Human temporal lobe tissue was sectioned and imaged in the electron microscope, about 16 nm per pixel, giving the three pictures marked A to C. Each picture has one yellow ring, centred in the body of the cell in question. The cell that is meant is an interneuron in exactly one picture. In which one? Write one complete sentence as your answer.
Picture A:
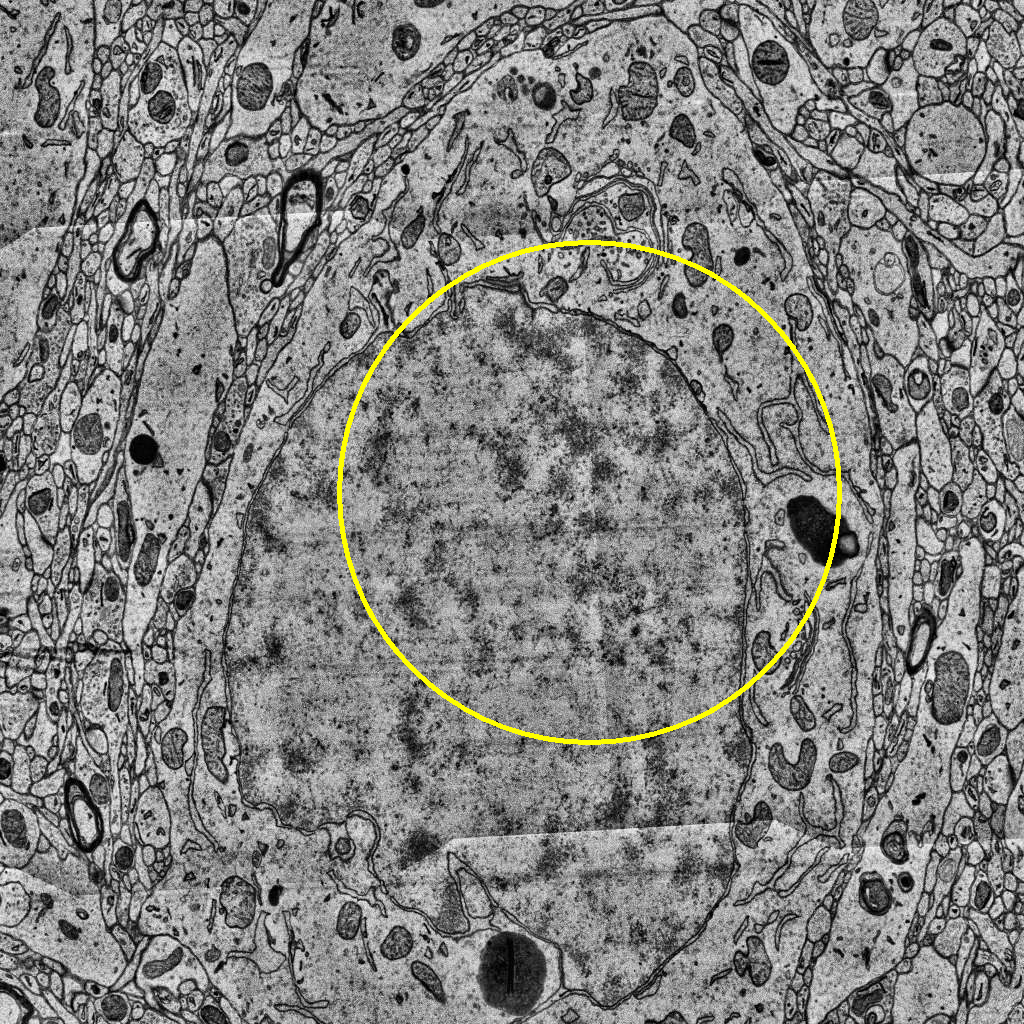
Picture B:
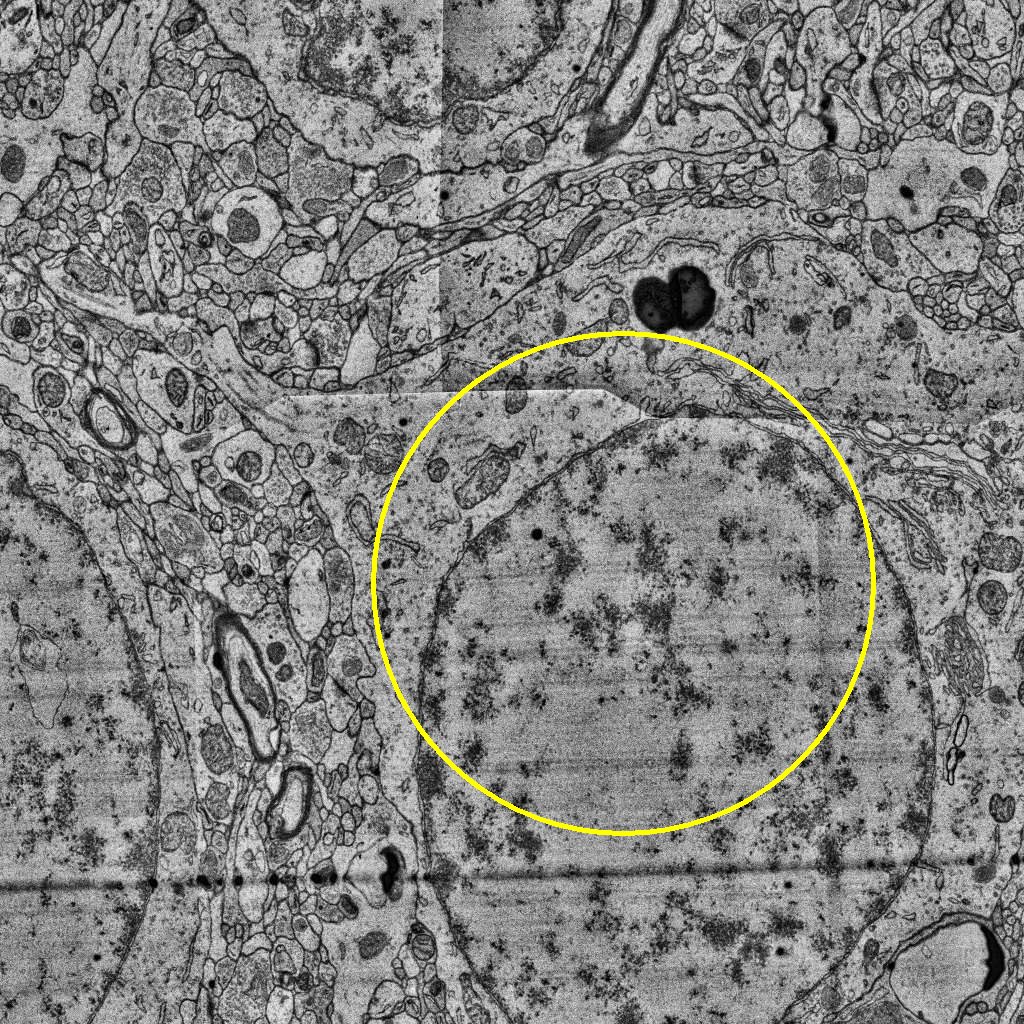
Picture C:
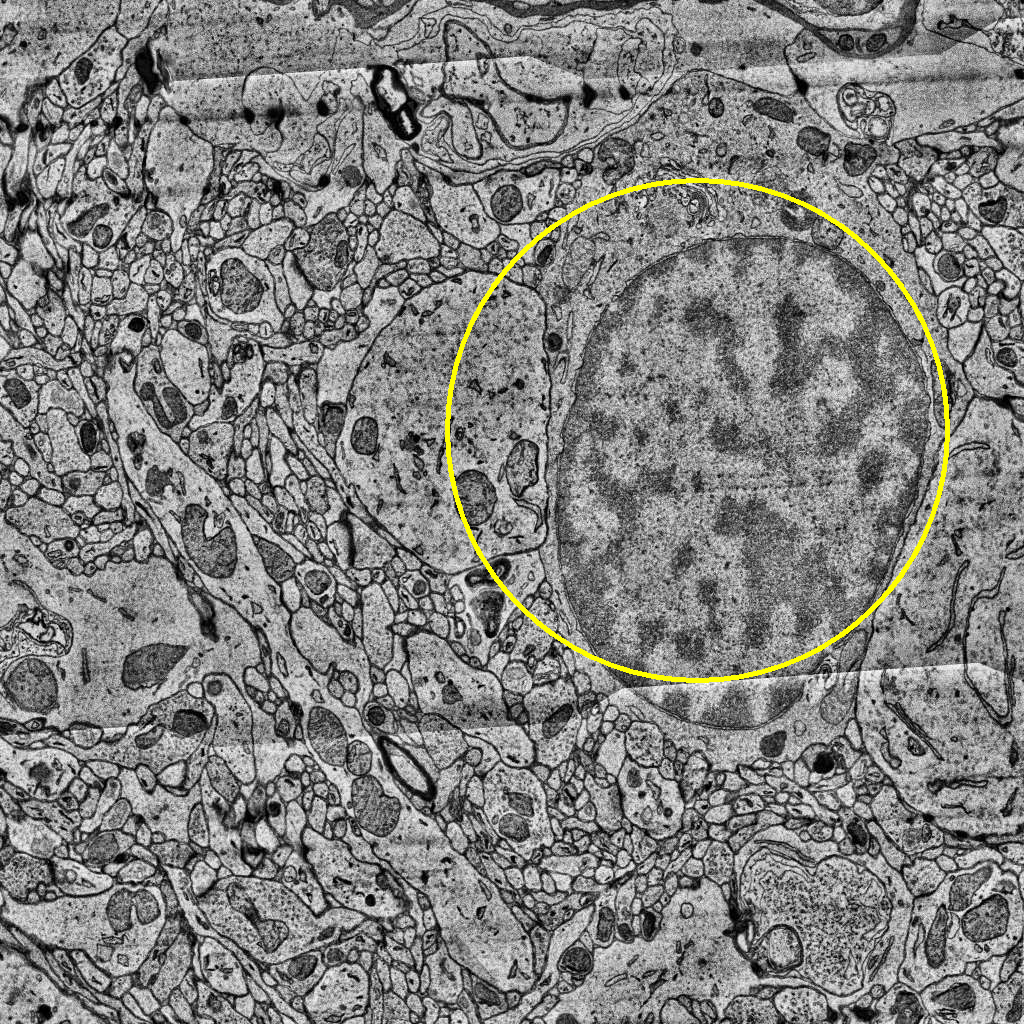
It is picture A that shows the interneuron.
